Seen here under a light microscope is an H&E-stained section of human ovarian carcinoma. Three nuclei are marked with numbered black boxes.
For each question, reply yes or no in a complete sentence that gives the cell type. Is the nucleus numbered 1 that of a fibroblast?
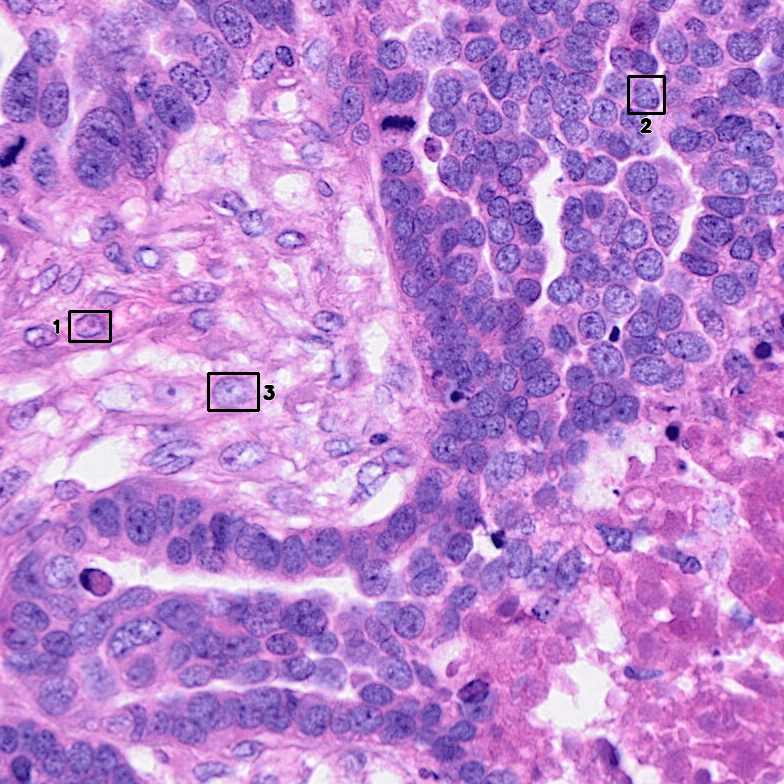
Yes, of the numbered cells, number 1 is a fibroblast.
